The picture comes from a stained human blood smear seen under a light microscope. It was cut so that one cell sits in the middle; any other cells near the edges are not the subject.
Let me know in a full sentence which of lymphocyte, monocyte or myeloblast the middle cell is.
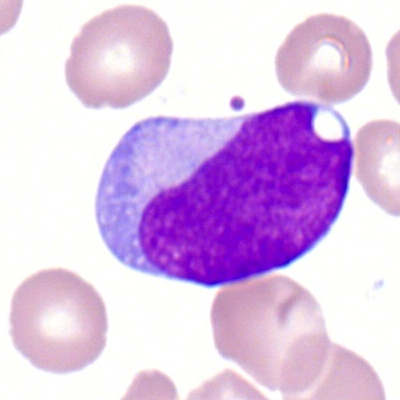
In the crop, the cell of interest at the centre is a myeloblast.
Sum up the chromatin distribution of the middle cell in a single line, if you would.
The chromatin pattern is fine and free of coarse clumps.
